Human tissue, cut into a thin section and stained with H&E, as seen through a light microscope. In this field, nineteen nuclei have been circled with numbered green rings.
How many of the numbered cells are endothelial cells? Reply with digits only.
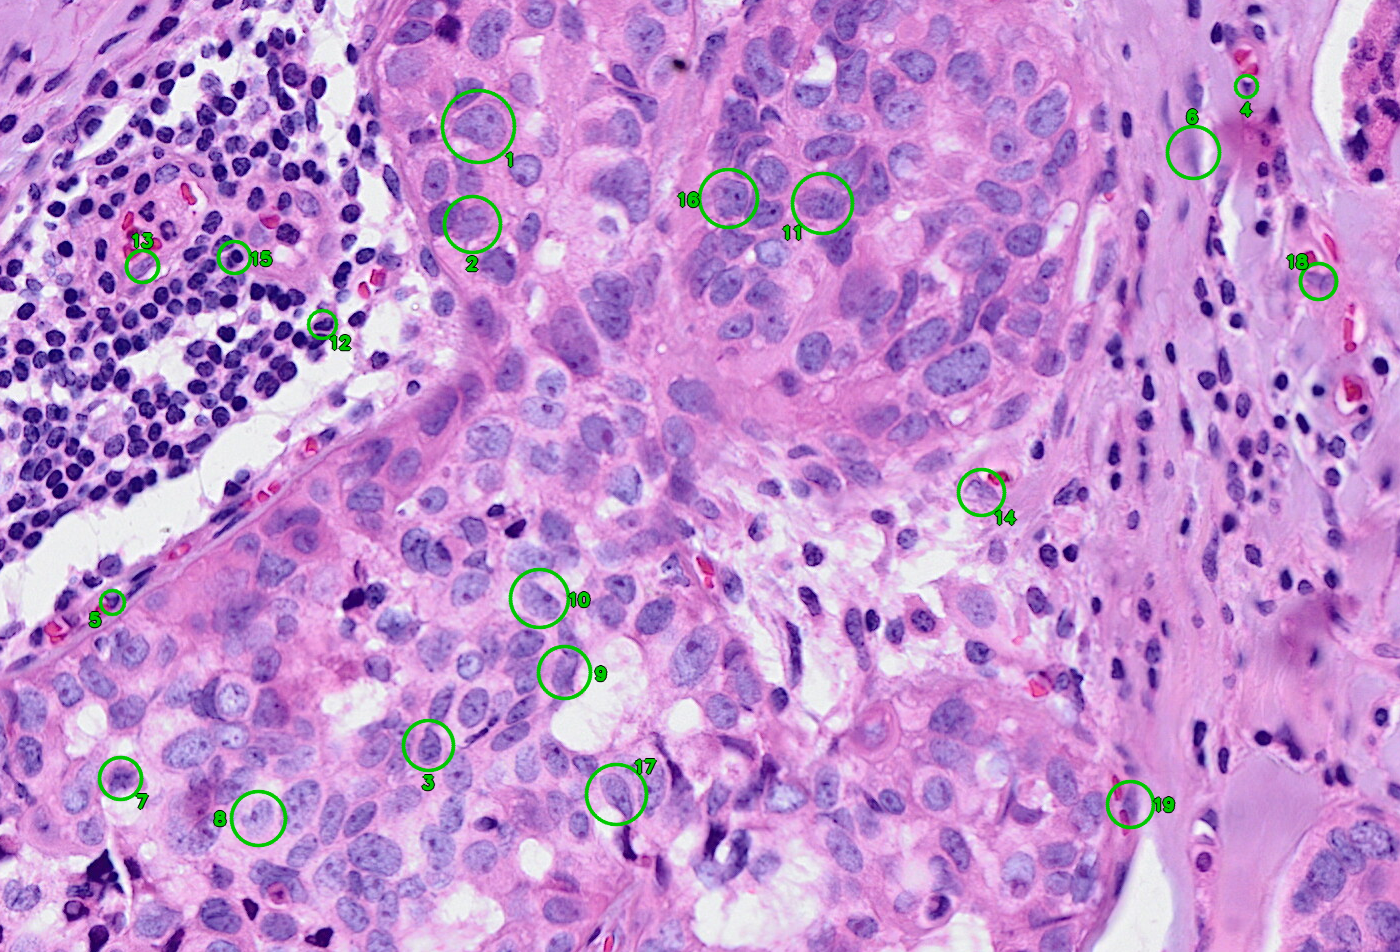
6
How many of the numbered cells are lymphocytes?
2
